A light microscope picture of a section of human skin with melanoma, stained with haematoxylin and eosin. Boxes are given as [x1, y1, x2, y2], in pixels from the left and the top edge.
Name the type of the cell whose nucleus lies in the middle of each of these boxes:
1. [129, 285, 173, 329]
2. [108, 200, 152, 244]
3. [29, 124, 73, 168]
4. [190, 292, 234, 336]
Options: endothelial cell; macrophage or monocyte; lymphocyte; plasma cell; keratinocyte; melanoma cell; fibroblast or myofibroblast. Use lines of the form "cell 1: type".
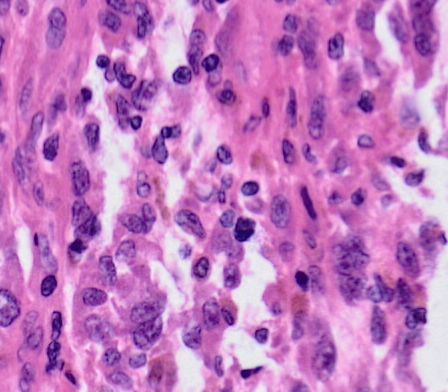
cell 1: melanoma cell
cell 2: melanoma cell
cell 3: lymphocyte
cell 4: melanoma cell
